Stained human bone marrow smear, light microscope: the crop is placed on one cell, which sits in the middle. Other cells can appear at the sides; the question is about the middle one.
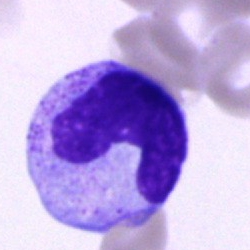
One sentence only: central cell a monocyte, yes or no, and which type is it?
No, the centred cell is a band neutrophil, and it is not a monocyte.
